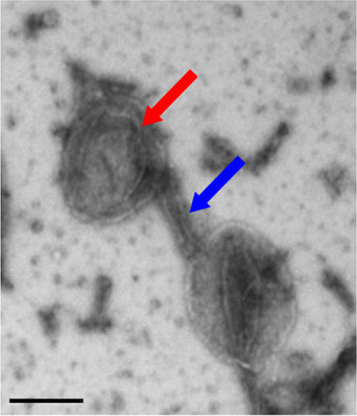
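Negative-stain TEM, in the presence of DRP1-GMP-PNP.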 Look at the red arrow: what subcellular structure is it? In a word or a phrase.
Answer: Mitochondria.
